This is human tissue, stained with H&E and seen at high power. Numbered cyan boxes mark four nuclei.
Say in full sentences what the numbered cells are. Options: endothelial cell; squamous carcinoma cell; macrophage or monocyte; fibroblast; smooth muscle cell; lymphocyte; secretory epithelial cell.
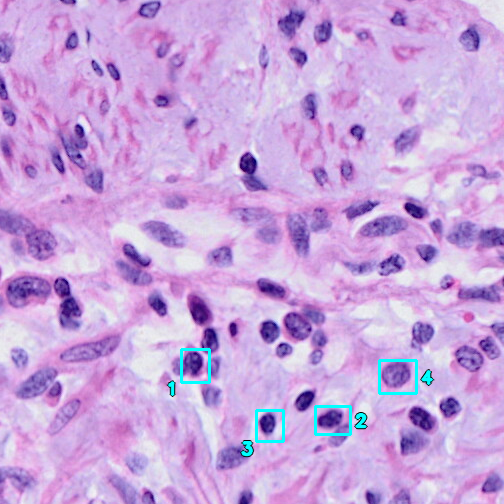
Cells 1, 2 and 3 are lymphocytes. Cell 4 is a macrophage or monocyte.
